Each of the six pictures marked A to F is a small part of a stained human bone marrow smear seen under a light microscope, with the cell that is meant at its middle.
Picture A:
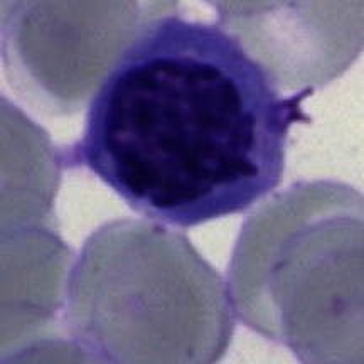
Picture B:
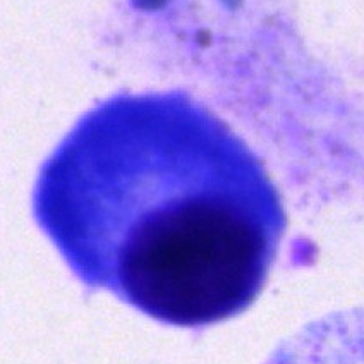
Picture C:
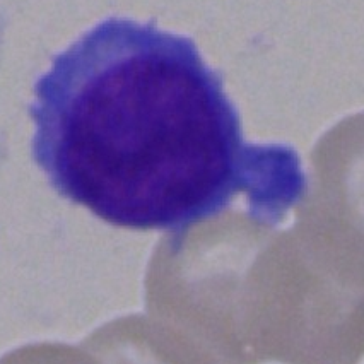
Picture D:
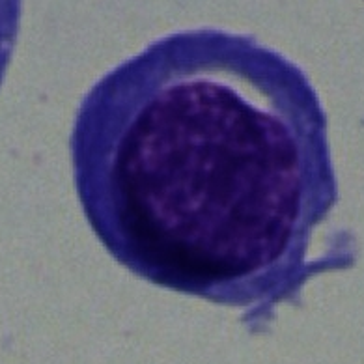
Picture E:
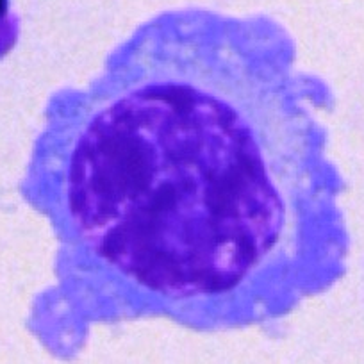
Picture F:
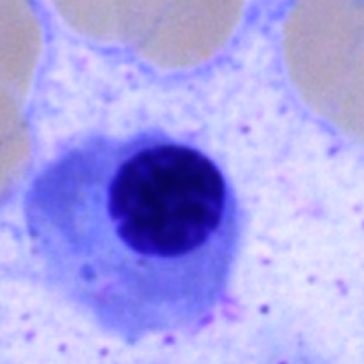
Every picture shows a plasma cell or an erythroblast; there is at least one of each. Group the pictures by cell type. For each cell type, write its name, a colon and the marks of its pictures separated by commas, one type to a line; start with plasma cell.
plasma cell: B, C, D, E
erythroblast: A, F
